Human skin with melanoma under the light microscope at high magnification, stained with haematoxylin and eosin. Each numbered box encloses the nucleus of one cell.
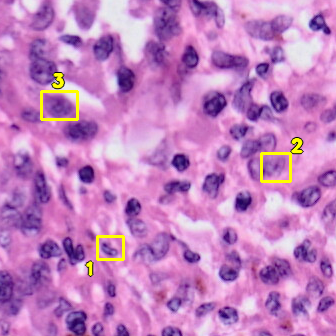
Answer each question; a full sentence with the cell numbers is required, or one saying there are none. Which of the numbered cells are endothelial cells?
The nucleus labelled 2 alone belongs to an endothelial cell; the other marked nuclei do not.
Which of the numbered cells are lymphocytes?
Among the numbered nuclei, only the one labelled 1 belongs to a lymphocyte.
